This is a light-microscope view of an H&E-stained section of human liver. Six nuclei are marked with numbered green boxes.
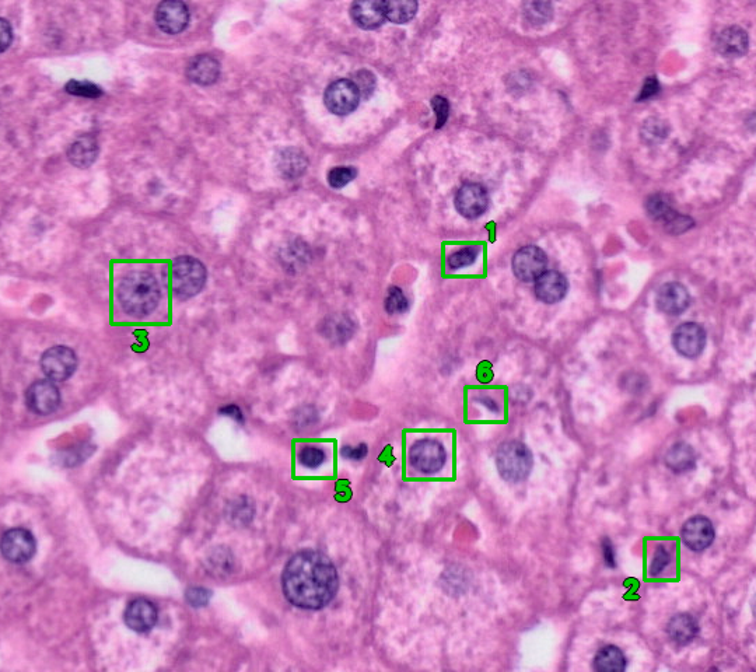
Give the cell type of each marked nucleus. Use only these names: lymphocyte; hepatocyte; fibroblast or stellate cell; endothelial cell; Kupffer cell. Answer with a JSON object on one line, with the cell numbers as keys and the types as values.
{"1": "Kupffer cell", "2": "endothelial cell", "3": "hepatocyte", "4": "hepatocyte", "5": "lymphocyte", "6": "endothelial cell"}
